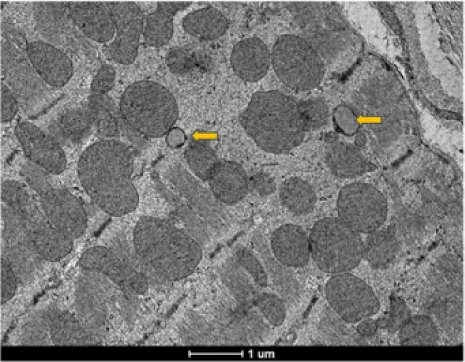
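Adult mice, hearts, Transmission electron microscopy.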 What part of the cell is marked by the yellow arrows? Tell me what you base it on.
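The arrows point to small round bodies of even grey texture with a dark outline. They lack cristae and are smaller than the surrounding mitochondria. On this evidence: lipid droplets.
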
